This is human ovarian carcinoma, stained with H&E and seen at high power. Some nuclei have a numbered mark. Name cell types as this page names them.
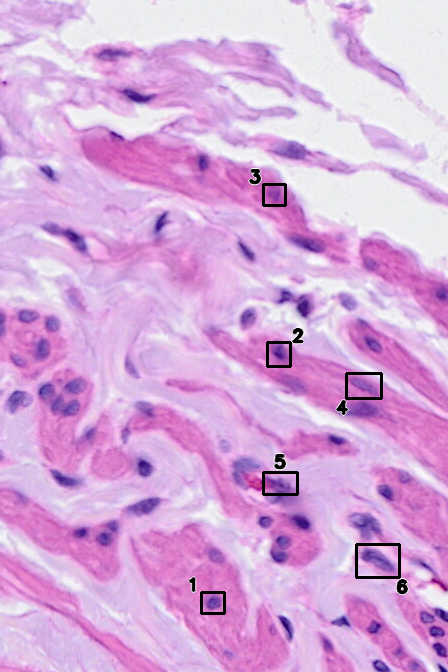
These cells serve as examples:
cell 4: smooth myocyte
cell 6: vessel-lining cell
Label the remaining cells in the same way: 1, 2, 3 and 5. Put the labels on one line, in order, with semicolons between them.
smooth myocyte; smooth myocyte; smooth myocyte; vessel-lining cell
